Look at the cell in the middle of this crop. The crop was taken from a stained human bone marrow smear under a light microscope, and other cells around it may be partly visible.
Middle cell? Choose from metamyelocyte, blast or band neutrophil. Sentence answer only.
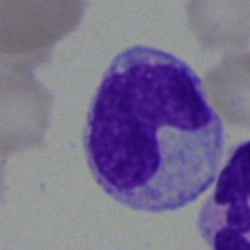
The cell under consideration, at the middle of the crop, is a band neutrophil.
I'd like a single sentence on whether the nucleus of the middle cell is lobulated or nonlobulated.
One compact mass makes up the whole nucleus, round, oval or kidney-shaped.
